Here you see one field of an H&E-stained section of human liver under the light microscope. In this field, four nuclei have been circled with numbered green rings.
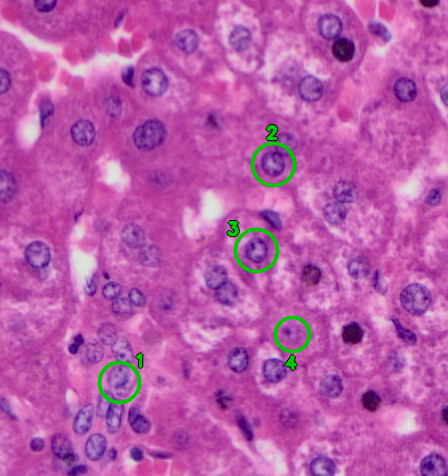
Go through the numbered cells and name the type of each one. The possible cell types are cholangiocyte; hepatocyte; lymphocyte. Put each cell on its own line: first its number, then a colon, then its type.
1: cholangiocyte
2: hepatocyte
3: hepatocyte
4: hepatocyte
